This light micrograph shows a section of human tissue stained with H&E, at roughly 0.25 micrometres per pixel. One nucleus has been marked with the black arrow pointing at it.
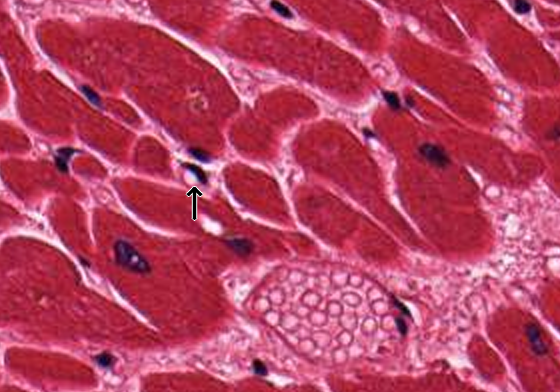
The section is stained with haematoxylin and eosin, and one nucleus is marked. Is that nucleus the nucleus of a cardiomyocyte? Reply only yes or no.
no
